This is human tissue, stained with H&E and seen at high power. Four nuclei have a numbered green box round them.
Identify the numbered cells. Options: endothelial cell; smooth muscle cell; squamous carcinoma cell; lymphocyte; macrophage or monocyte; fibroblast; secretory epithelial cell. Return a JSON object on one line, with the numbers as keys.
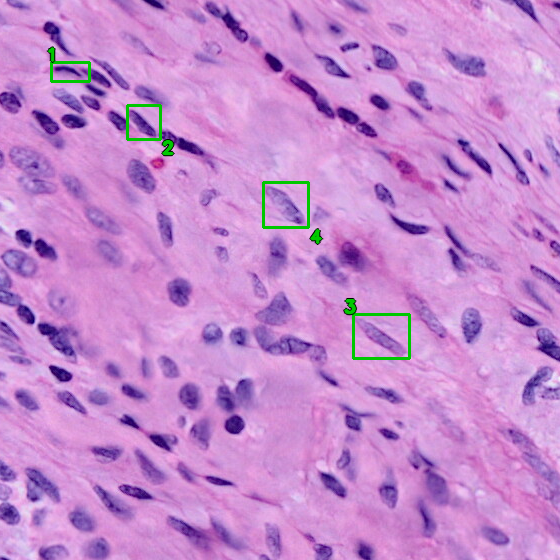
{"1": "fibroblast", "2": "fibroblast", "3": "smooth muscle cell", "4": "fibroblast"}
